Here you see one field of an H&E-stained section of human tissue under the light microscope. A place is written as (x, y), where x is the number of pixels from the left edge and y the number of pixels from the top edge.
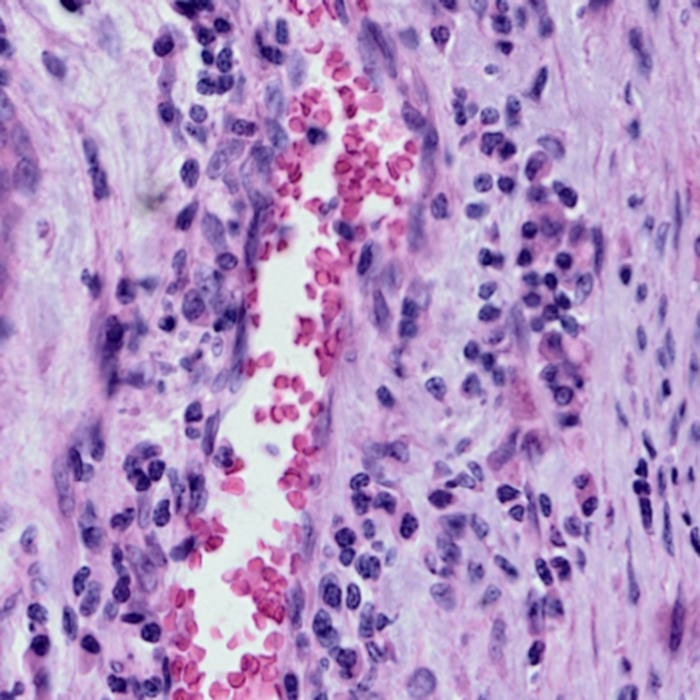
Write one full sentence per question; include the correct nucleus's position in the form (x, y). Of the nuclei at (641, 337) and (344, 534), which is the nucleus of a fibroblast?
The nucleus found at (641, 337) belongs to a fibroblast.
